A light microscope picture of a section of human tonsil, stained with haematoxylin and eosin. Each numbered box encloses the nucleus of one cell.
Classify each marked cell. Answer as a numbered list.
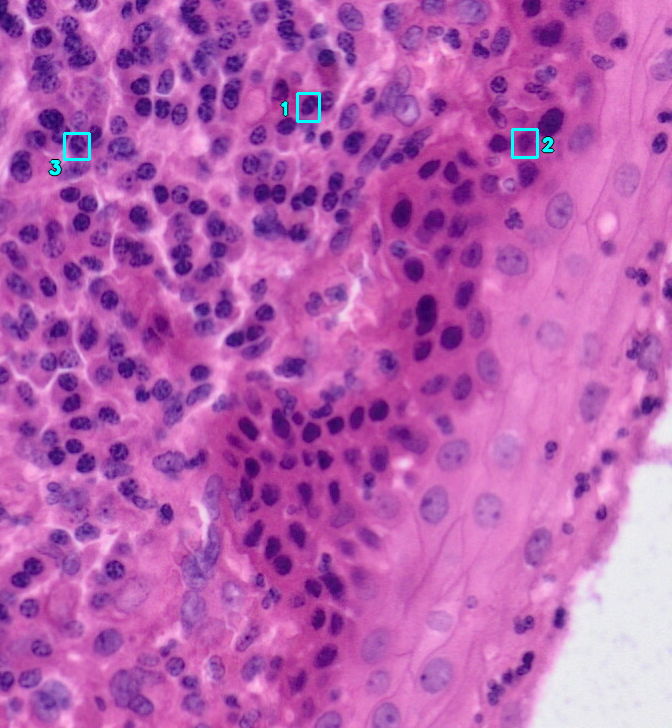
1. plasma cell
2. squamous epithelial cell
3. plasma cell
